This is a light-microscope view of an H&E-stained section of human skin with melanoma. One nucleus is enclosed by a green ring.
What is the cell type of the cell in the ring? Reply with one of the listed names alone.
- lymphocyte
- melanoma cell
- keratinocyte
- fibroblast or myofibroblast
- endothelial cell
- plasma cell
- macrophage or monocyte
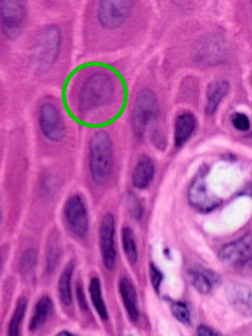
keratinocyte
